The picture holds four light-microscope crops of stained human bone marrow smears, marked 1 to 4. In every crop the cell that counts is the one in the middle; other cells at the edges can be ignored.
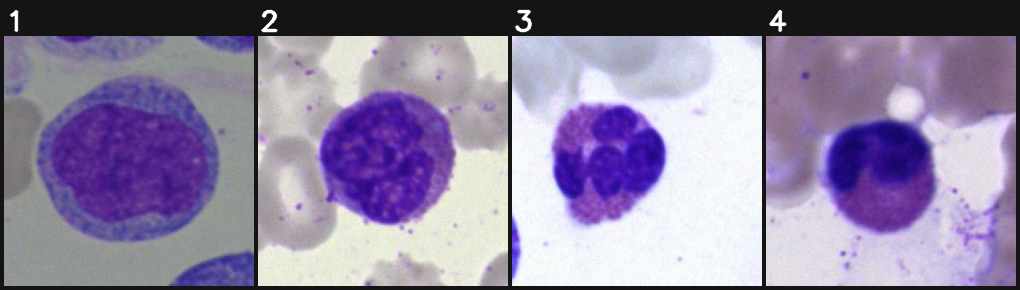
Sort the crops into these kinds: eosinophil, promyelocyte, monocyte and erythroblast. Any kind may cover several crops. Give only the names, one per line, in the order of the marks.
monocyte
eosinophil
eosinophil
eosinophil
